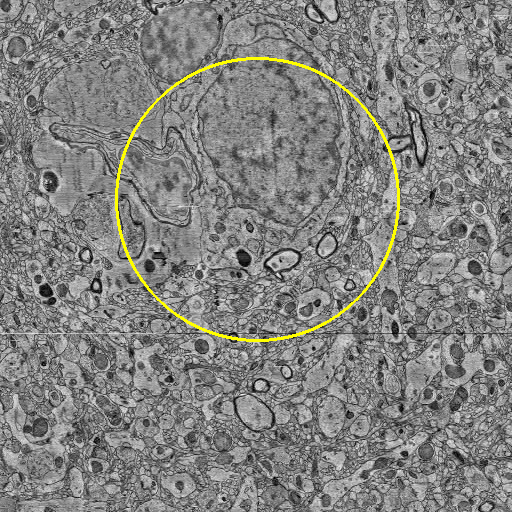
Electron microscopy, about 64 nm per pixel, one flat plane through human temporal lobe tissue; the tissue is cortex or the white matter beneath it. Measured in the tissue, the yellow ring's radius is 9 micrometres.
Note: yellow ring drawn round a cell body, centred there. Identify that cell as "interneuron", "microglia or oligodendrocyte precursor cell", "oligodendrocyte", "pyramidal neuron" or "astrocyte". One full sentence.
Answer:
The cell in the middle of the ring is an interneuron.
